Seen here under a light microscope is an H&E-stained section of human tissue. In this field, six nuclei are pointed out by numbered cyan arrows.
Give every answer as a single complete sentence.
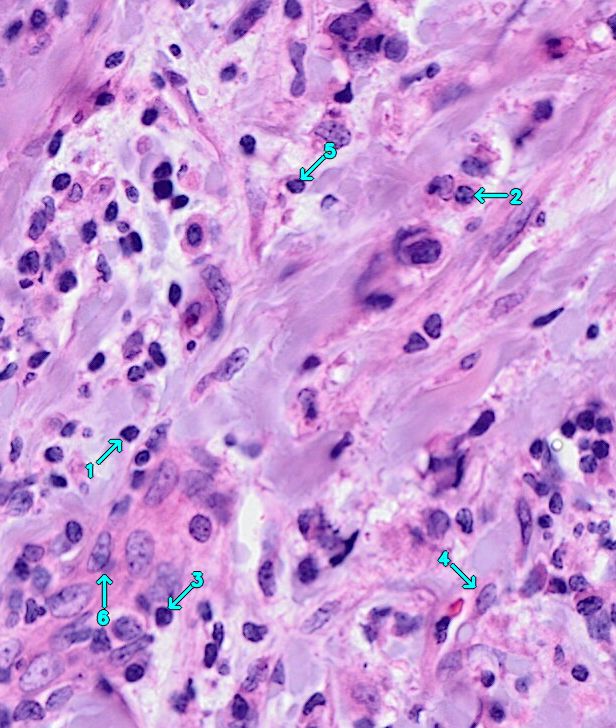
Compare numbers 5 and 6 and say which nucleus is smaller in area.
The smaller nucleus is 5, and 6 covers roughly 1.5 times its area.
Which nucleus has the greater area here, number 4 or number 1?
Nucleus 4 covers more area, about 2 times as much as nucleus 1.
